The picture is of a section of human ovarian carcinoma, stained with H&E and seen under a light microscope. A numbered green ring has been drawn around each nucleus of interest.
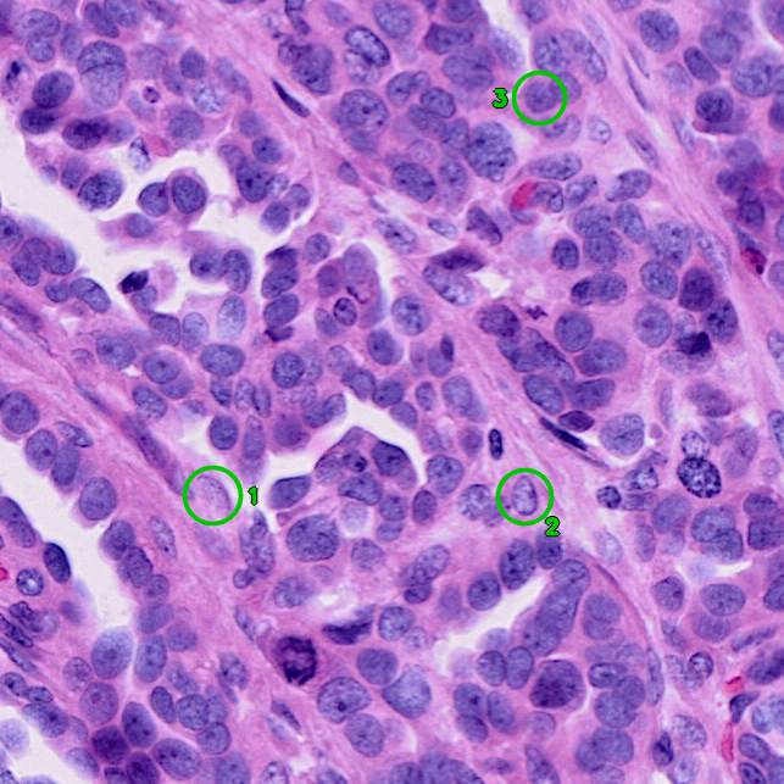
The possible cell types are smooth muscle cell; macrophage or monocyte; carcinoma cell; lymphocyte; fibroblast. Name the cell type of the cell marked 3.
carcinoma cell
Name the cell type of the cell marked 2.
fibroblast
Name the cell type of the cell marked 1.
fibroblast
